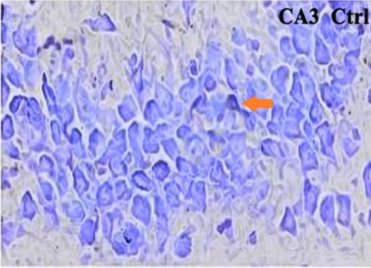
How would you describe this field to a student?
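A broad band of closely packed pyramidal neurons fills the field, their cell bodies stained violet-blue against a pale background. Most cell bodies are plump, rounded to triangular, with evenly stained cytoplasm and paler nuclei. Only the odd cell, such as the one marked by an arrow, is darker and narrower.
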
